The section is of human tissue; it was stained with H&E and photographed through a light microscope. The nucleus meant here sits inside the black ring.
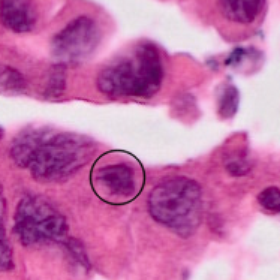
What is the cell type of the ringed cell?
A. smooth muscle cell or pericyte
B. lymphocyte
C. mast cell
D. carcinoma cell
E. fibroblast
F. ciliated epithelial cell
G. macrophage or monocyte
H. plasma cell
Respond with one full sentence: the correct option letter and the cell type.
The correct option here, D, identifies the ringed cell as a carcinoma cell.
